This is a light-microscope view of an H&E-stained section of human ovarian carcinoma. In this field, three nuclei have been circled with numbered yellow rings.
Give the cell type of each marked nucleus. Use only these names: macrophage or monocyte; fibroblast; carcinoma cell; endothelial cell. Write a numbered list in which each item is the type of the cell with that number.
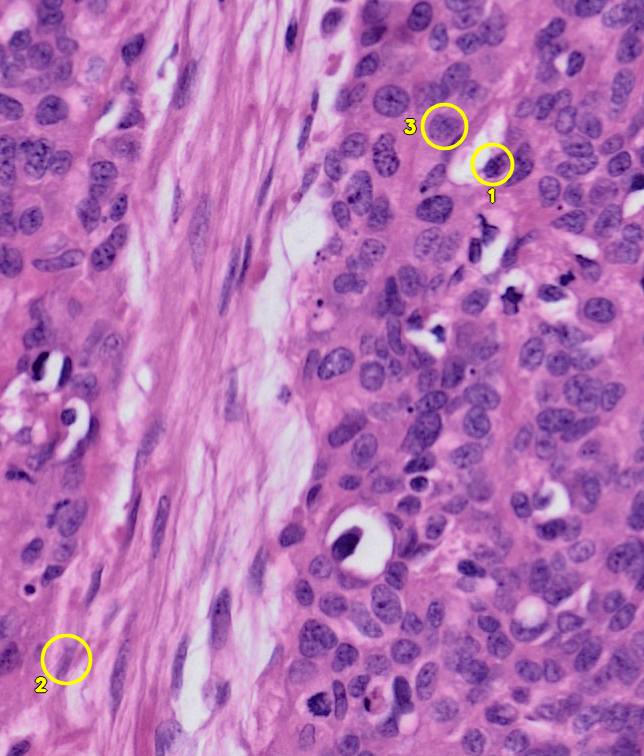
1. carcinoma cell
2. fibroblast
3. carcinoma cell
